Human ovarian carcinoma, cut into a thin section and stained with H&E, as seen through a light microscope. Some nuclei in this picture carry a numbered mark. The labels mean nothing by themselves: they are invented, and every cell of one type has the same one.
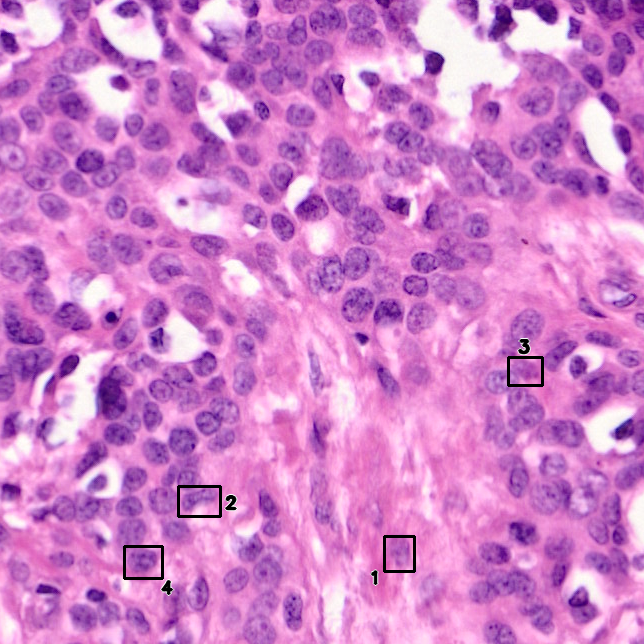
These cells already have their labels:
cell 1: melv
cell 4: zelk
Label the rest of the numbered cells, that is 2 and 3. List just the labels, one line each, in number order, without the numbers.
zelk
zelk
